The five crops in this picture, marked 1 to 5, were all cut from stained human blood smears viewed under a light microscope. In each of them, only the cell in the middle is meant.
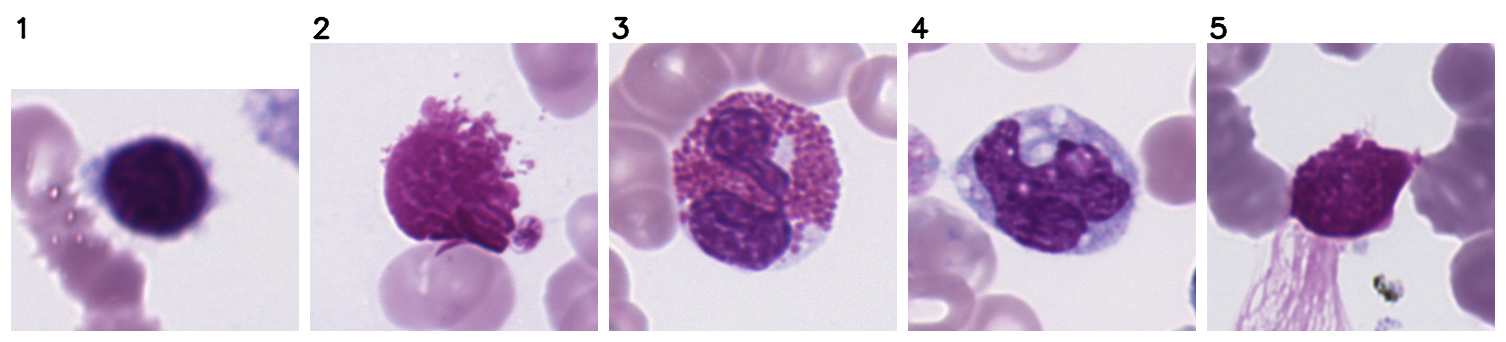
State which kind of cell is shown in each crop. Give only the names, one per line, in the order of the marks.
hairy cell
smudge cell
eosinophil
monocyte
smudge cell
